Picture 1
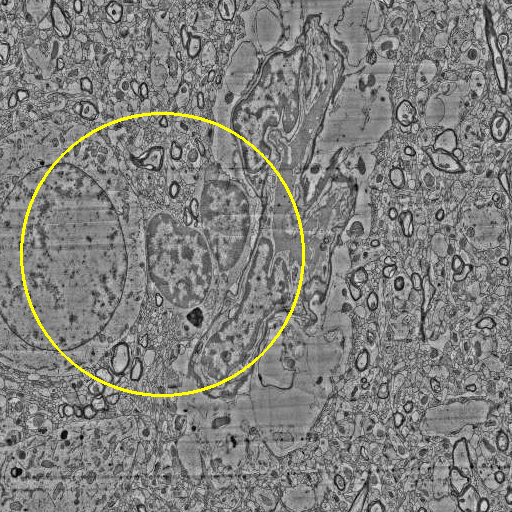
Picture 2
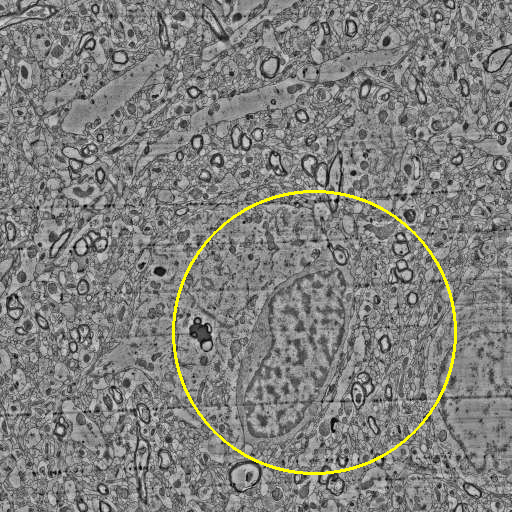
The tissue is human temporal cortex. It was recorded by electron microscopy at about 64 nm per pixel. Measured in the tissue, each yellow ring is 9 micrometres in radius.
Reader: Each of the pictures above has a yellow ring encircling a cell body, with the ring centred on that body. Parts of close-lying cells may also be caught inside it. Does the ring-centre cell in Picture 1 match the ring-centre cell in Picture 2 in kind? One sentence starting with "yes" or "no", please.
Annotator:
Yes, Picture 1 and Picture 2 show ring-centre cells of a single kind.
